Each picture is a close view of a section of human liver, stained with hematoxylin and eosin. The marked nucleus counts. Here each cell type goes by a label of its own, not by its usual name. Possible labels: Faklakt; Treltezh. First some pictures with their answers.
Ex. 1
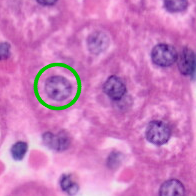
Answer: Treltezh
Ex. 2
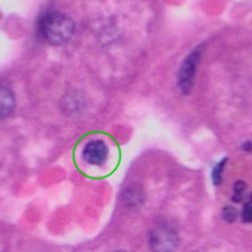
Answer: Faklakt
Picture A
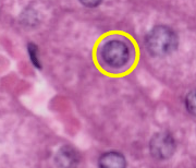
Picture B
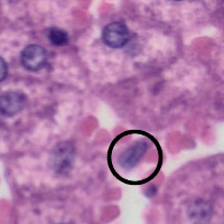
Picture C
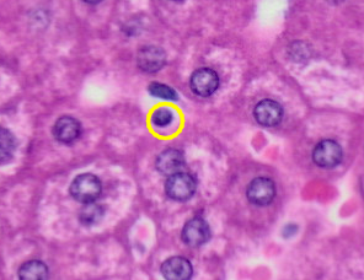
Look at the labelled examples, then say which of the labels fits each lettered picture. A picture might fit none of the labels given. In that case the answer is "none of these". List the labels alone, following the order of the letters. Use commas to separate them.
Treltezh, none of these, Faklakt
